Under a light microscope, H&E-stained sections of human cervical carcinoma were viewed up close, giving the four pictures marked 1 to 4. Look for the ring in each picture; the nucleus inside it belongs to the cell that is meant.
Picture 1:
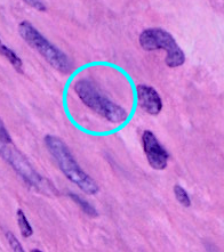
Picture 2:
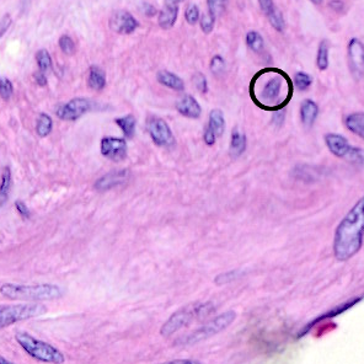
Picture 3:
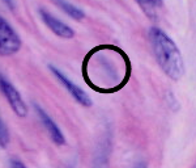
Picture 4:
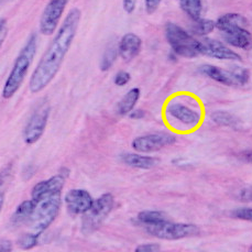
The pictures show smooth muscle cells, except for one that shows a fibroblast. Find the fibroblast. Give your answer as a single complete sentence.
Picture 1 is the one that shows the fibroblast.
